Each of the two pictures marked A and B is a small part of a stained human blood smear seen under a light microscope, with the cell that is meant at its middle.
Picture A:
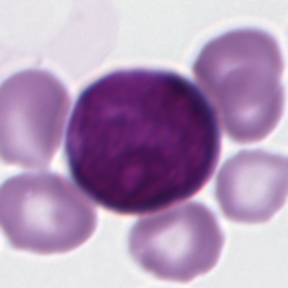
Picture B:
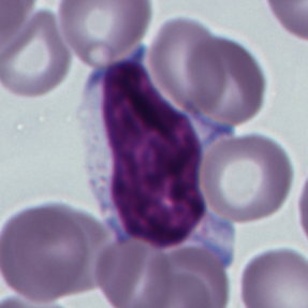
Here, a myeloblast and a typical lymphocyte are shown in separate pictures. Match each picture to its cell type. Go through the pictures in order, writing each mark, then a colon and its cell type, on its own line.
A: myeloblast
B: typical lymphocyte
